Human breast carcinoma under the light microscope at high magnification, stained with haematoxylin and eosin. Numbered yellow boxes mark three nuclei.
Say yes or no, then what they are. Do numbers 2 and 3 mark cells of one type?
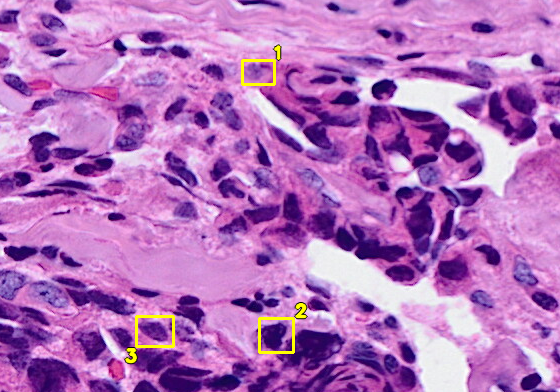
Yes, cells 2 and 3 both fall under carcinoma cells.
